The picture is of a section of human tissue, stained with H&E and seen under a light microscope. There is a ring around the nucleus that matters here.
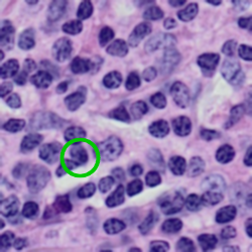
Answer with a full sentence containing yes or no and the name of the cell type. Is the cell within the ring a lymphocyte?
Yes, the identification of the cell within the ring as a lymphocyte stands.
